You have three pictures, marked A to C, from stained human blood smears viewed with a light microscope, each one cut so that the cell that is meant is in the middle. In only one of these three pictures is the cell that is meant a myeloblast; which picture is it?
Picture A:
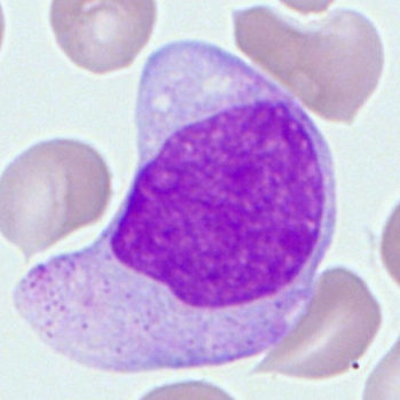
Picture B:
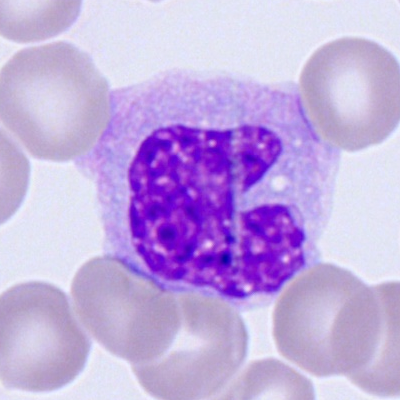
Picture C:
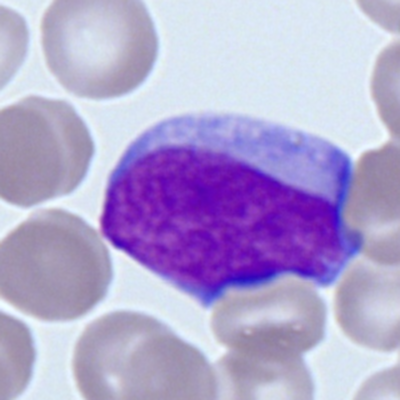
C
